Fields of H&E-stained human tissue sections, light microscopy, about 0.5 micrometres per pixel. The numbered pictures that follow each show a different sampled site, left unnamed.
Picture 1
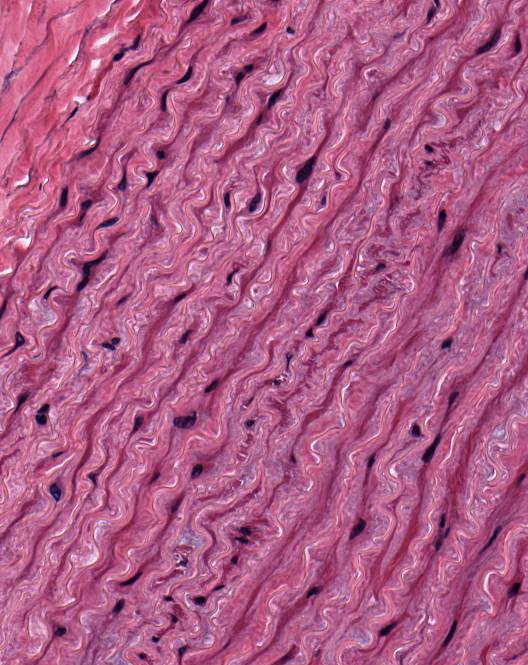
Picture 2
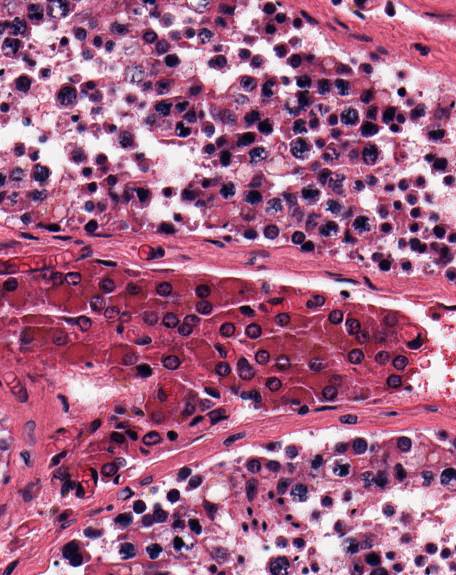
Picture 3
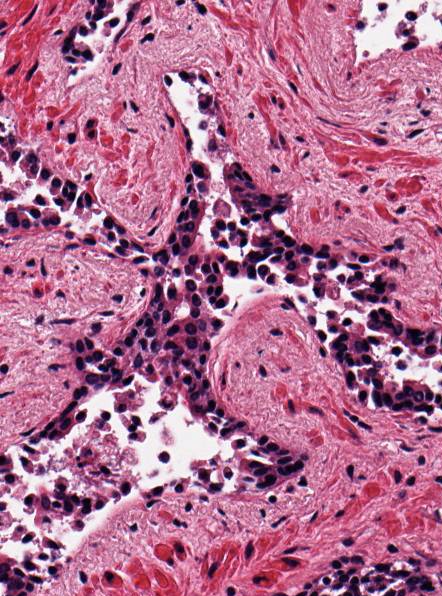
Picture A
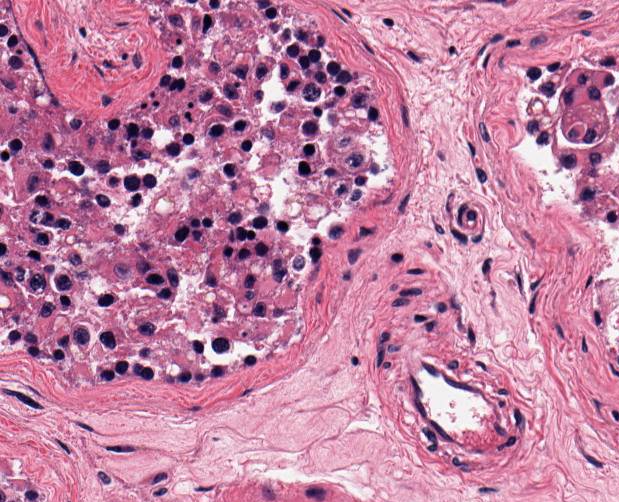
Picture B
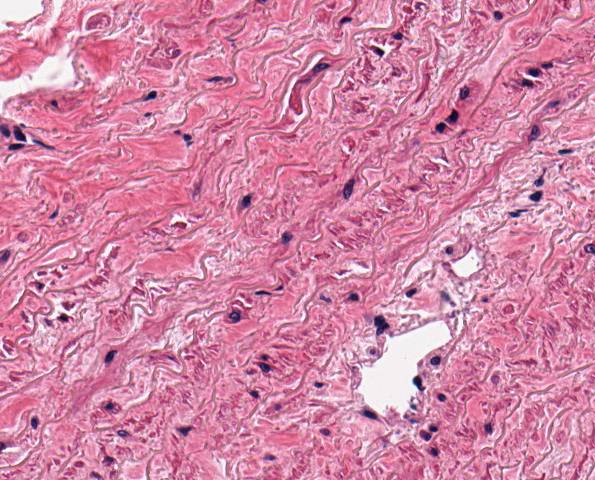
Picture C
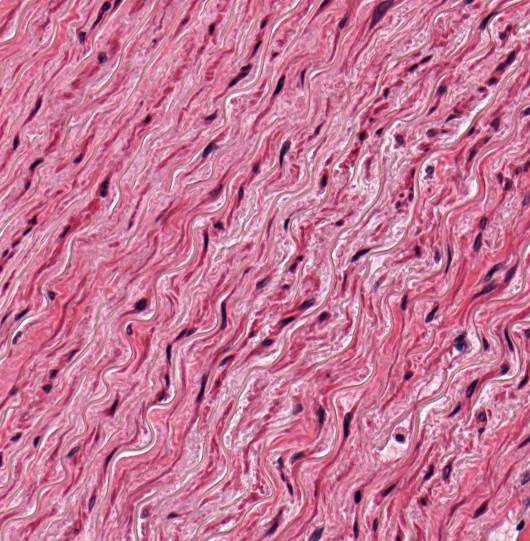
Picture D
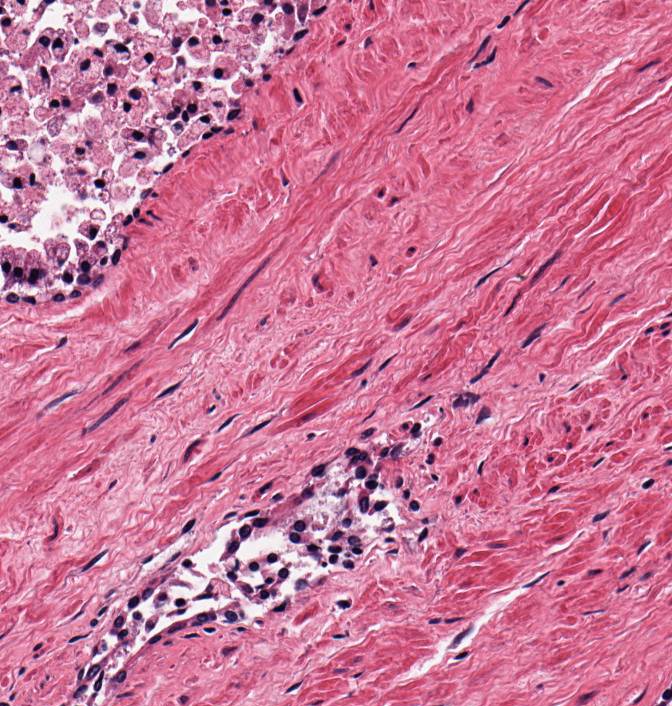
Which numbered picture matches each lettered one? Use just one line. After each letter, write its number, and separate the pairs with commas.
A 2, B 1, C 1, D 3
